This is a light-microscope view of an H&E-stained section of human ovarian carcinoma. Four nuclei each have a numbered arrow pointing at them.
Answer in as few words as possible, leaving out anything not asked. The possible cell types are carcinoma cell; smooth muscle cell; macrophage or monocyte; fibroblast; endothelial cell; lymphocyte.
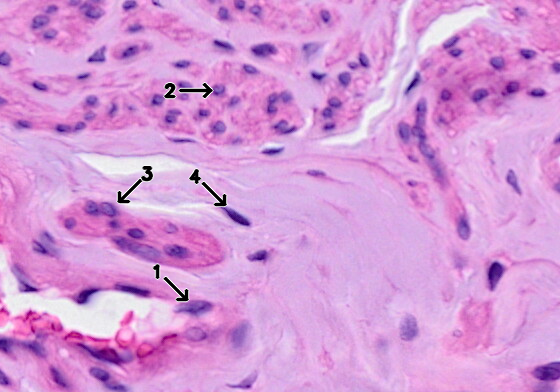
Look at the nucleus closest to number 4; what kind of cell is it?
macrophage or monocyte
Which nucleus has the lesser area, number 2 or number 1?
2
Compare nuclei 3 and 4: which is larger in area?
4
